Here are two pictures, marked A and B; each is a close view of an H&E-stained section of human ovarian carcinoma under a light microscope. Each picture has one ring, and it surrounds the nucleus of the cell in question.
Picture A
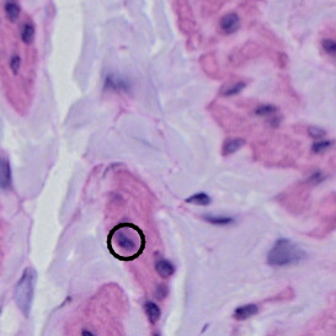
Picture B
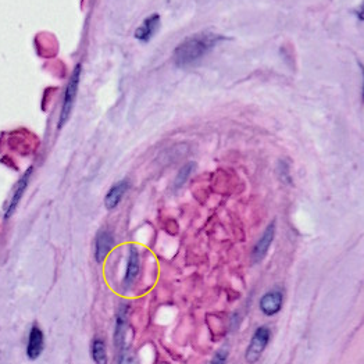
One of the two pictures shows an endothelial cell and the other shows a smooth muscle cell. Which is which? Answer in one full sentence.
The cell in picture A is a smooth muscle cell, and the one in picture B is an endothelial cell.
